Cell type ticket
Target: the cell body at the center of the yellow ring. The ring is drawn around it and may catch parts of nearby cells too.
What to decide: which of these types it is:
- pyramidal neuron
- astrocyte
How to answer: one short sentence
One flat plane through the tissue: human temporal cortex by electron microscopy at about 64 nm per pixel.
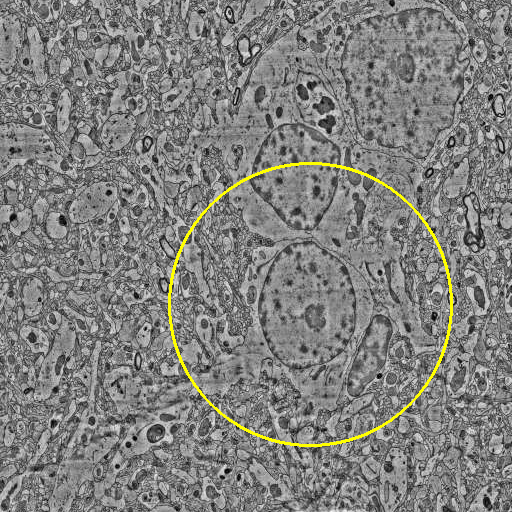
The cell at the center of the ring is an astrocyte.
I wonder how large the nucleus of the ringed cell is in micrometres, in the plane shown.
Approximately 8 x 6 micrometres in this plane.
